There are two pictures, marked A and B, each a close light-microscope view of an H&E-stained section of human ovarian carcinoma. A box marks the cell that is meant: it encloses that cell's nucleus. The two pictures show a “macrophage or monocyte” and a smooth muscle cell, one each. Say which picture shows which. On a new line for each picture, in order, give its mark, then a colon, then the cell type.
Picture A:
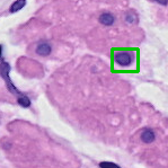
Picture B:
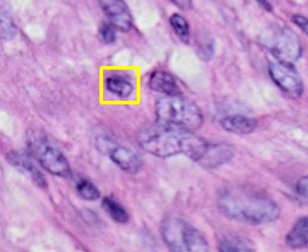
A: smooth muscle cell
B: macrophage or monocyte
